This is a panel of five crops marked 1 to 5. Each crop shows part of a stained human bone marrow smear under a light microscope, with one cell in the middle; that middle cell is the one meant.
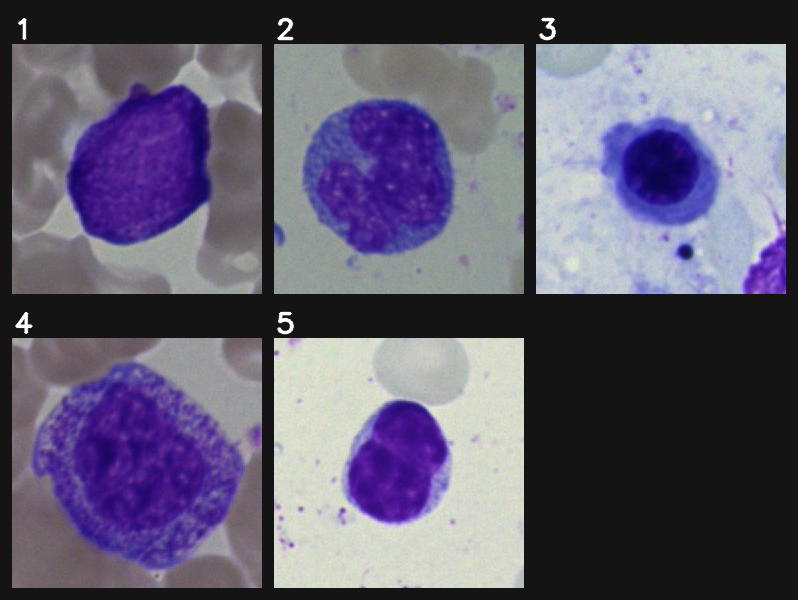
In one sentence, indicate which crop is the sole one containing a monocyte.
Crop 2 is the one in the set with a monocyte at the center.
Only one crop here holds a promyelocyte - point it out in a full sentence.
The sole crop showing a promyelocyte is crop 4.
